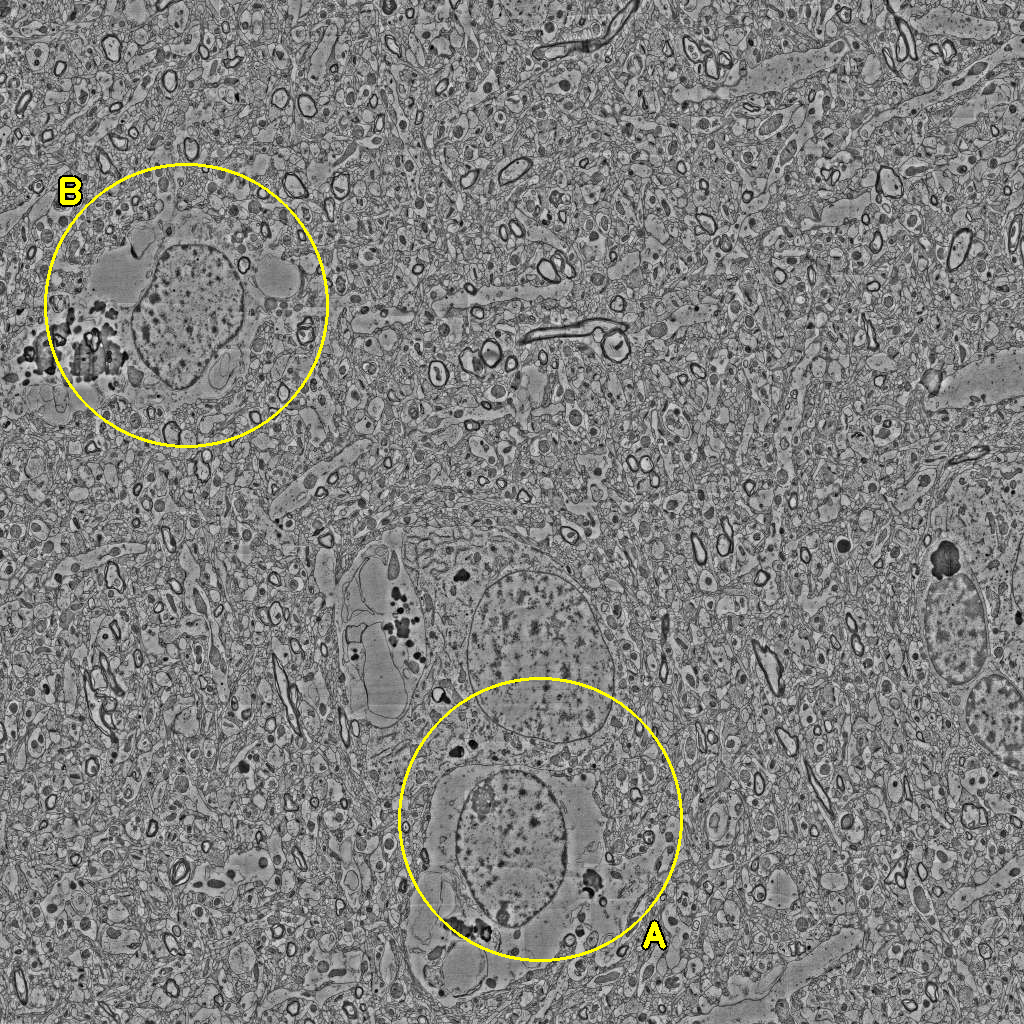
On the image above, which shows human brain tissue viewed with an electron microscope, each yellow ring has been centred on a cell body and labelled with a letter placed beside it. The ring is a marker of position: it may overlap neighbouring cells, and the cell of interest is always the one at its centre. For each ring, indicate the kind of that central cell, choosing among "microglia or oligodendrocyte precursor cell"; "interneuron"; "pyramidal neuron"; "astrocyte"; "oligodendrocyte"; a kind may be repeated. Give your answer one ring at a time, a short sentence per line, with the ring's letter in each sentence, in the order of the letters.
Ring A shows an astrocyte at its centre.
Ring B shows an astrocyte at its centre.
